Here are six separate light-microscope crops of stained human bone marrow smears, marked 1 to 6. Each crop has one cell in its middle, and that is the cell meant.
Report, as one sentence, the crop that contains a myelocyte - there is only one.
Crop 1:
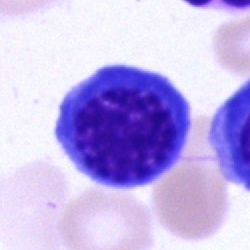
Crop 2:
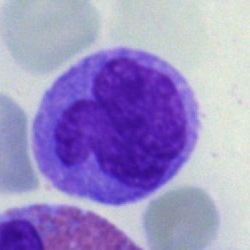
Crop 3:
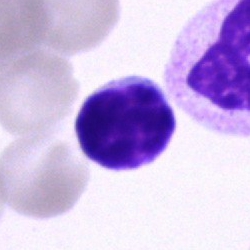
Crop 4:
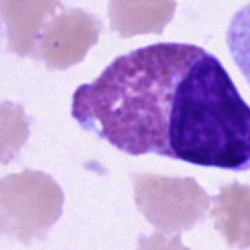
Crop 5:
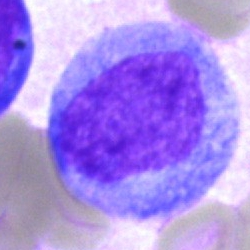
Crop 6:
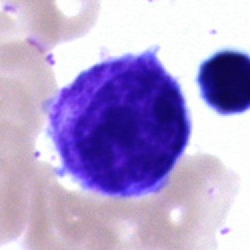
The sole crop showing a myelocyte is crop 6.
